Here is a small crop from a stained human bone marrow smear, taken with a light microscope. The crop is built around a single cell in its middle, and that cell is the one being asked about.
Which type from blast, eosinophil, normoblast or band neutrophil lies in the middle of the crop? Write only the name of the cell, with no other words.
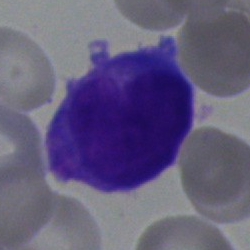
blast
